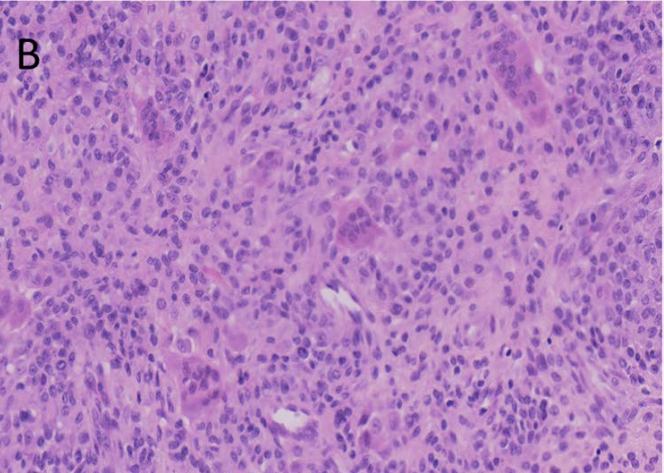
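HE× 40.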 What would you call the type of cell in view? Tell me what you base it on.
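Multinucleated giant cells. Several large cells with abundant pink cytoplasm and many nuclei are scattered in the field. They lie among much smaller mononuclear cells.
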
